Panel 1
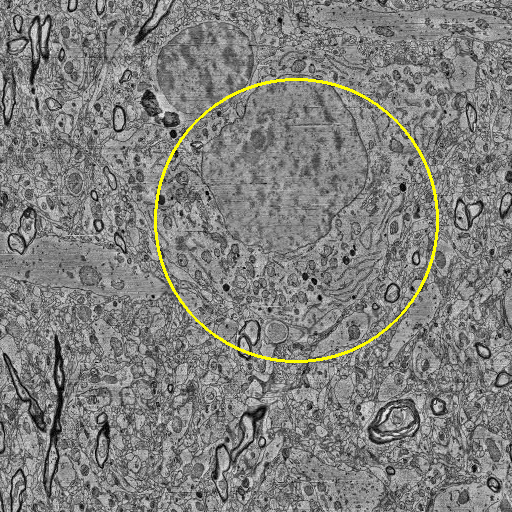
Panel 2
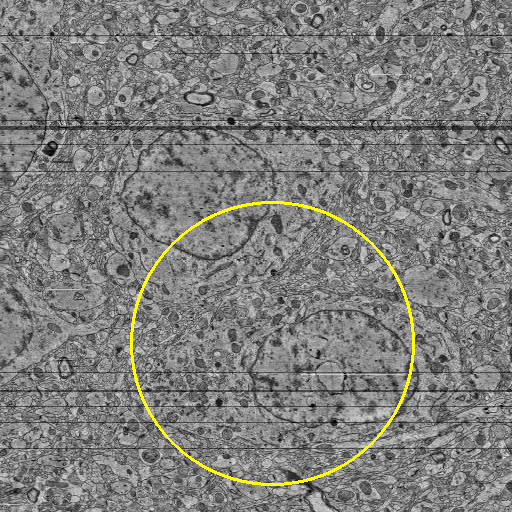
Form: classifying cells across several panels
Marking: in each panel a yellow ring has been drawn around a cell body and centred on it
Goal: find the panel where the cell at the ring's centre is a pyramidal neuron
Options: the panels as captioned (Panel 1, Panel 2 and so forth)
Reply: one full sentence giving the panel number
Panel 2 shows the wanted cell at the centre of its ring.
